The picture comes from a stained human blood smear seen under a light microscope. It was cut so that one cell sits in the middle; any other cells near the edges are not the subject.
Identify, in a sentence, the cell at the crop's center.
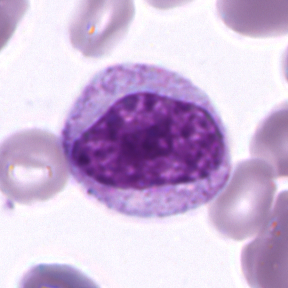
Within this crop, a metamyelocyte occupies the central position.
